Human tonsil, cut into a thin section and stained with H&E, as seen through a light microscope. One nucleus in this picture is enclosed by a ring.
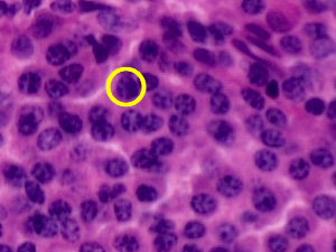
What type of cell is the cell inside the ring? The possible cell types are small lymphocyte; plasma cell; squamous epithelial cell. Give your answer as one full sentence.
In this tissue section, the cell inside the ring is to be classed as a plasma cell.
